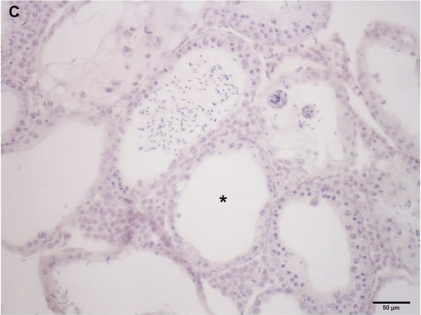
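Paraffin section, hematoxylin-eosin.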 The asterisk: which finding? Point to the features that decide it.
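The tubule at the asterisk has a wide empty lumen. Its wall is a thin layer of cells without stacked germ cell layers. No sperm fill that lumen. So: aspermatogenesis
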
